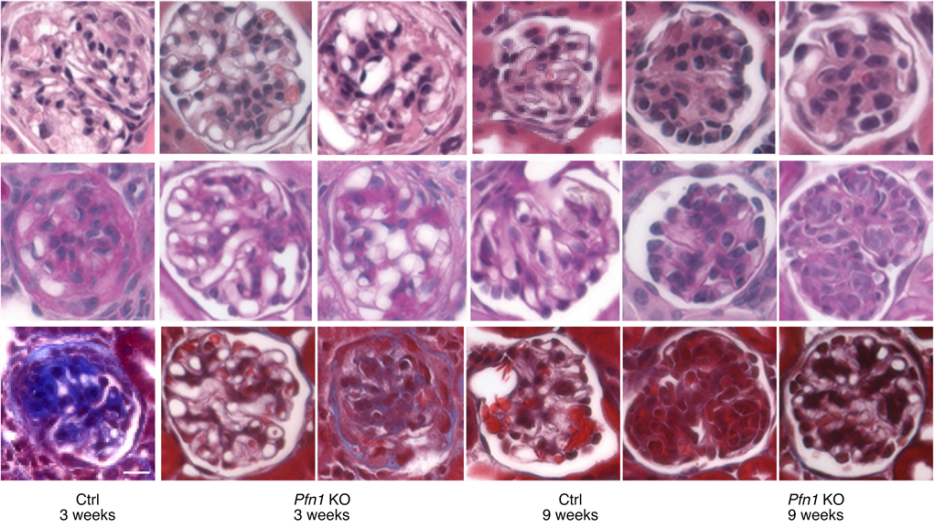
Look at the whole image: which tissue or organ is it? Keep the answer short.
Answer: Glomeruli.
